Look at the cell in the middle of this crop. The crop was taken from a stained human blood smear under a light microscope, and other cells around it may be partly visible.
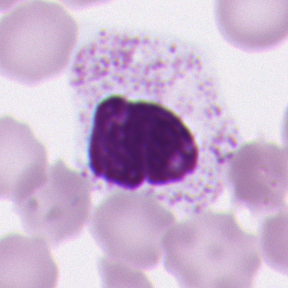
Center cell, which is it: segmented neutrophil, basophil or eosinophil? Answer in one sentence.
The middle of this crop holds a segmented neutrophil.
